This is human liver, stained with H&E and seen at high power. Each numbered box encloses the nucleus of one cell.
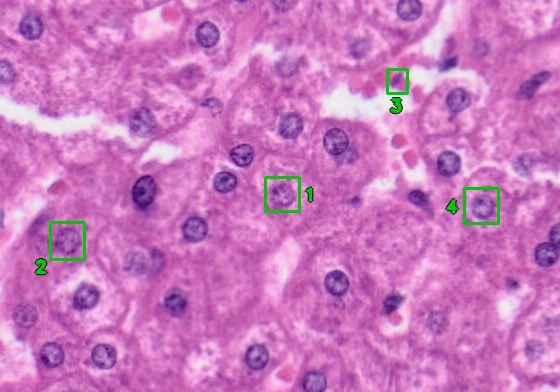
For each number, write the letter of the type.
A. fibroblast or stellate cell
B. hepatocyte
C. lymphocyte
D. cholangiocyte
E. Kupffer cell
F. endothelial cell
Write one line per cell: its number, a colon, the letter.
1: B
2: B
3: F
4: B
